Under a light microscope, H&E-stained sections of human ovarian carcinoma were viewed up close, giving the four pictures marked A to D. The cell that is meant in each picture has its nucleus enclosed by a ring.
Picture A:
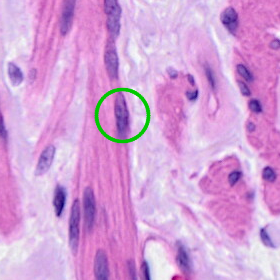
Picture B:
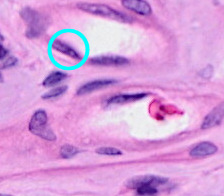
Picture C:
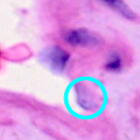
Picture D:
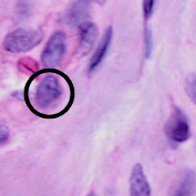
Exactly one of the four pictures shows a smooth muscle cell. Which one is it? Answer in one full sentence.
Picture A shows the smooth muscle cell.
